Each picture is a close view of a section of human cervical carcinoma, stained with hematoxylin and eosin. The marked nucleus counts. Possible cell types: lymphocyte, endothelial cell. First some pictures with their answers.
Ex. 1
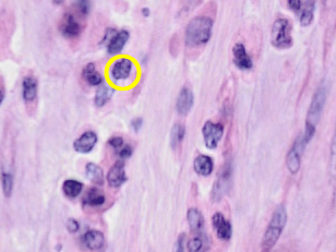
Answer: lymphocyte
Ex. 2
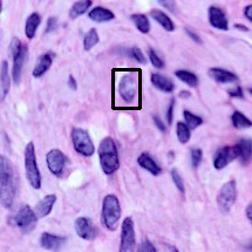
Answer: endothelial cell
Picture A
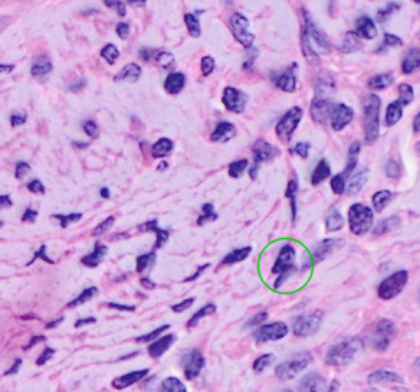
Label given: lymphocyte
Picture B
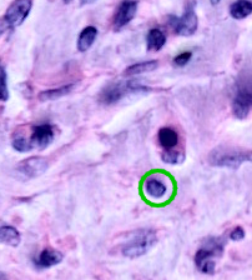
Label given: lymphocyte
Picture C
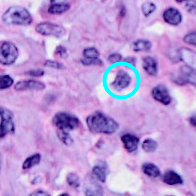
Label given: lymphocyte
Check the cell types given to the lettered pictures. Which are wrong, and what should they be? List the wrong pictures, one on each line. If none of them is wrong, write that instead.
All correct.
